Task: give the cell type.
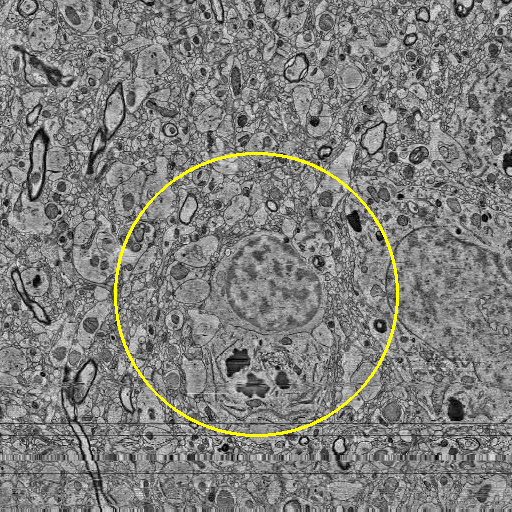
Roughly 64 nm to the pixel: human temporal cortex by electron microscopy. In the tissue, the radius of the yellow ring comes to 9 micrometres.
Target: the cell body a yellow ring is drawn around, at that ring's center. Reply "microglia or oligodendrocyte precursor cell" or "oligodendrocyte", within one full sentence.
In this picture, the cell whose body lies at the ring's center is an oligodendrocyte.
